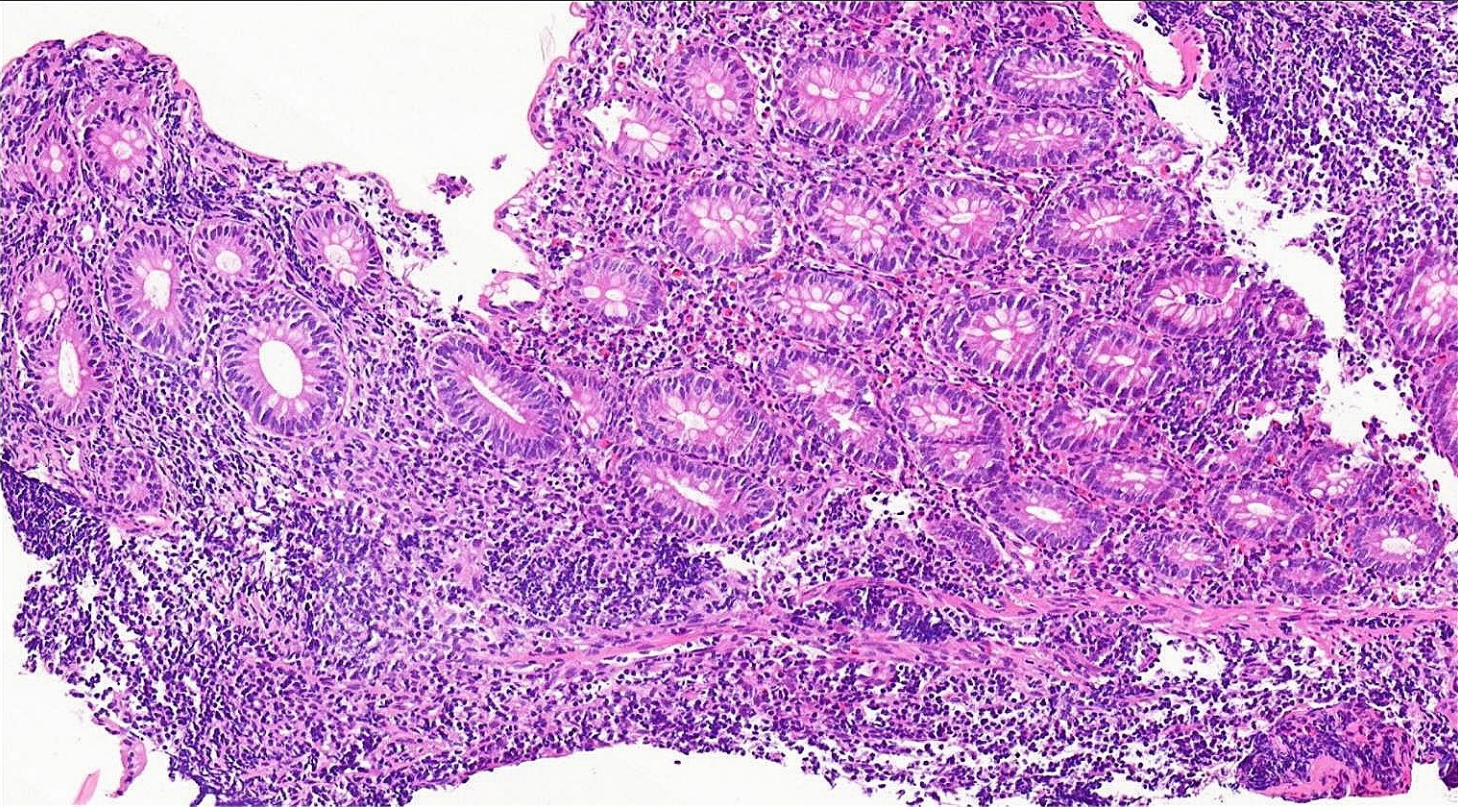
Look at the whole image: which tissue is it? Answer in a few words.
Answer: Colon mucosa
